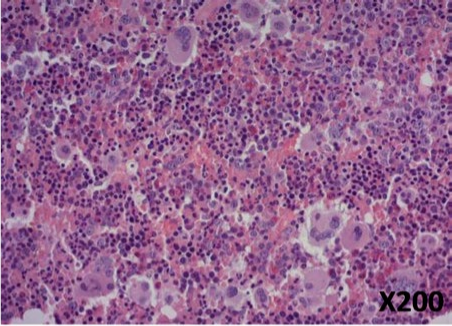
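This hypercellular bone marrow is packed with hematopoietic cells of several lineages, among which many megakaryocytes stand out. The megakaryocytes are very large cells with abundant pale pink cytoplasm and lobulated, folded nuclei, and they vary considerably in size. Around them lie numerous small cells with round, dark nuclei and red-tinged erythroid and granulocytic precursors, with few fat spaces.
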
